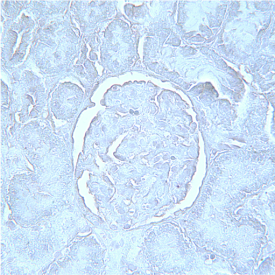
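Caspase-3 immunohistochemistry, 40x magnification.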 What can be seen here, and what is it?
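This is a section of kidney cortex centred on a glomerulus, surrounded by tubules, stained pale blue with a faint brownish tint. The glomerulus is a rounded tuft of capillary loops with scattered small nuclei. A wide clear crescent of space separates the tuft from a thin capsule around it. The surrounding tubules are lined by cuboidal cells with finely granular cytoplasm, and some tubules show open lumens.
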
